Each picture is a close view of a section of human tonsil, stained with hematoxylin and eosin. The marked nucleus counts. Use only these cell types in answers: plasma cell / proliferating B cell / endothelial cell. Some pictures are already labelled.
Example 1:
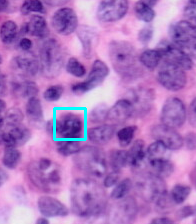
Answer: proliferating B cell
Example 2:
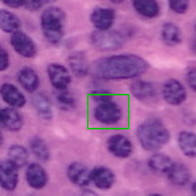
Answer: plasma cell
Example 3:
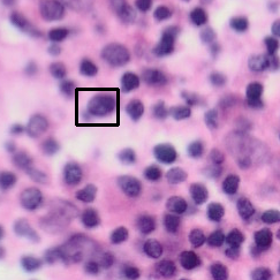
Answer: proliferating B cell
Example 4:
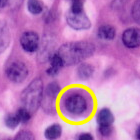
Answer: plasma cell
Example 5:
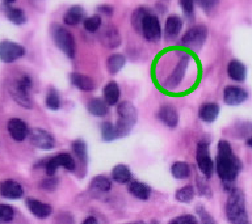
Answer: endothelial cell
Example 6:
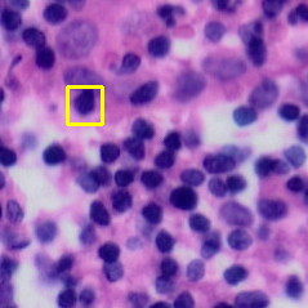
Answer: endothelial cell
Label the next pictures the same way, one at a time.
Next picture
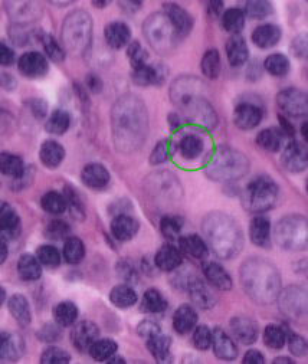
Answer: endothelial cell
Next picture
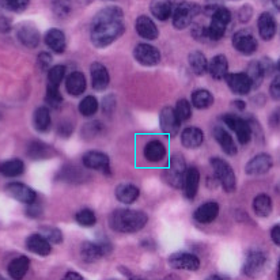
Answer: plasma cell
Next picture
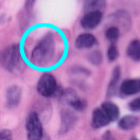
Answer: endothelial cell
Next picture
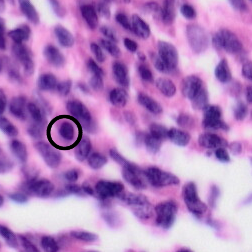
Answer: proliferating B cell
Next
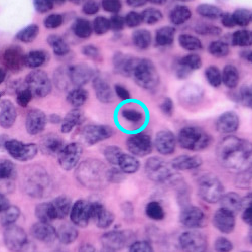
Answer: proliferating B cell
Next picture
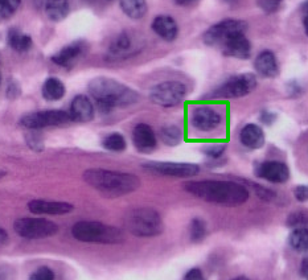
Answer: plasma cell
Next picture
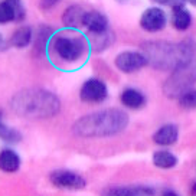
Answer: endothelial cell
